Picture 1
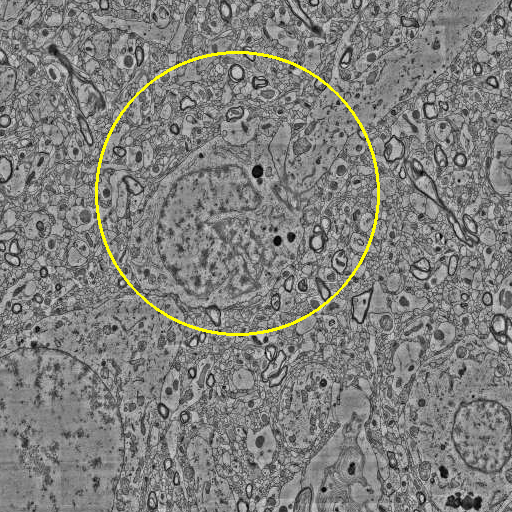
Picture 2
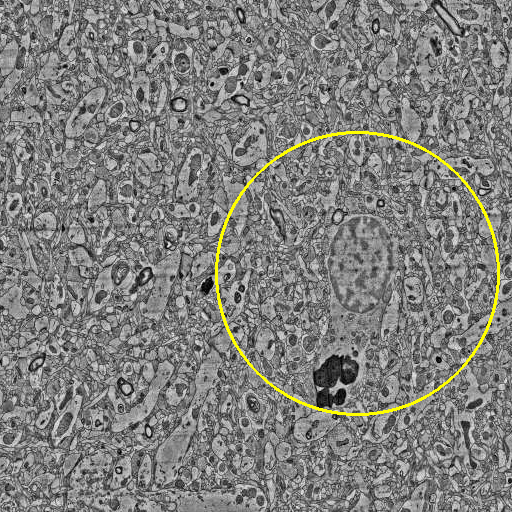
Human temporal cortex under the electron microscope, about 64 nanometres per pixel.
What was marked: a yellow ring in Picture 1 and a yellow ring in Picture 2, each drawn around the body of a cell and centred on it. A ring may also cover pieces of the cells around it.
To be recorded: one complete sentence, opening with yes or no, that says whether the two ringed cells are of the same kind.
No, the two ringed cells are of two kinds.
